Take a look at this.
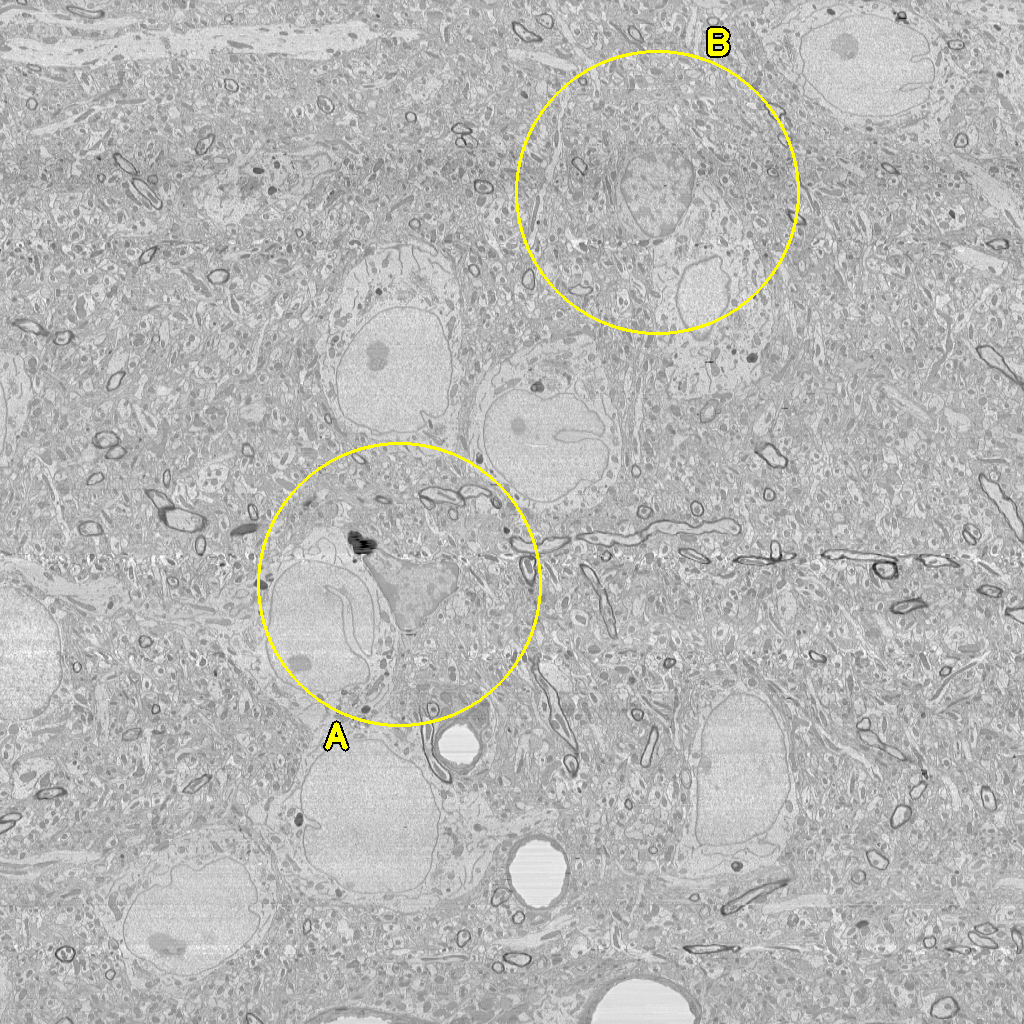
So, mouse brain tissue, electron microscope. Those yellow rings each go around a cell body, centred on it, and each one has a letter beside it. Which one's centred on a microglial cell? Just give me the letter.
A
